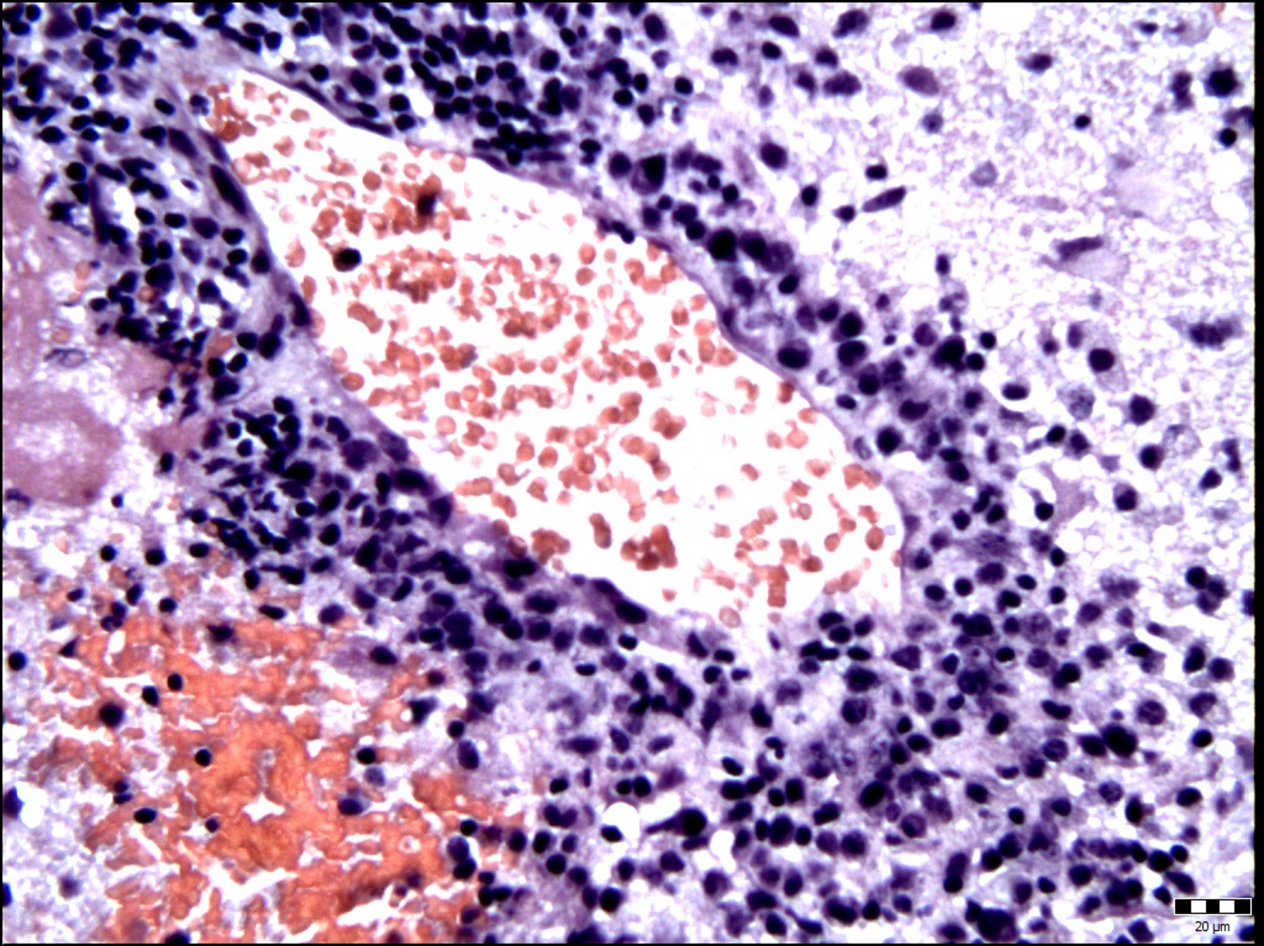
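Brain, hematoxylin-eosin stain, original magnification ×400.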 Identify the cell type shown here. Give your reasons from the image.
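Mononuclear inflammatory cells. The crowded cells are small and round, with single round dark-purple nuclei. They have scant cytoplasm and no lobed nuclei.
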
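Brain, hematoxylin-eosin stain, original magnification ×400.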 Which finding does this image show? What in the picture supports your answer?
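A large blood vessel filled with red blood cells runs diagonally through the centre. Dense sheets of small, round, dark-nucleated cells crowd around the vessel wall. The cell density falls off away from the vessel into paler tissue.
Conclusion: perivascular accumulation of mononuclear inflammatory cells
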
